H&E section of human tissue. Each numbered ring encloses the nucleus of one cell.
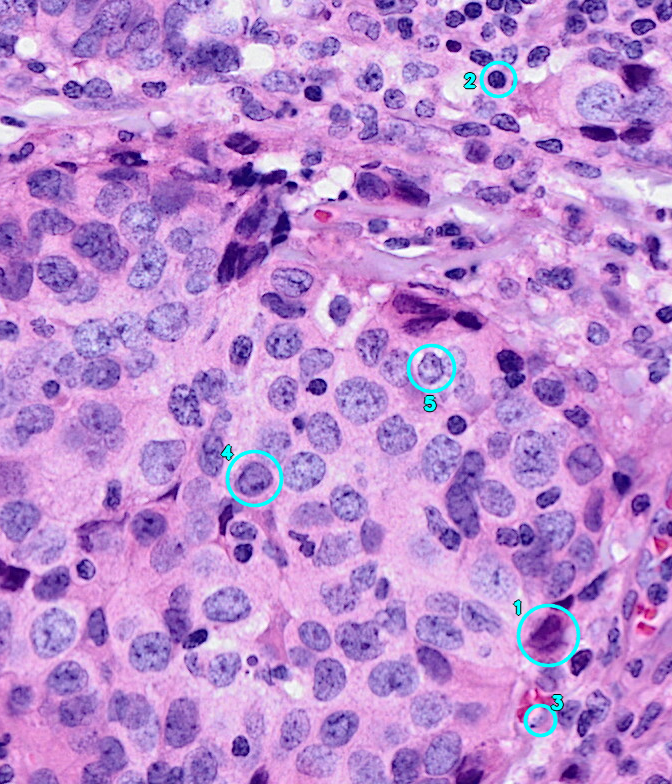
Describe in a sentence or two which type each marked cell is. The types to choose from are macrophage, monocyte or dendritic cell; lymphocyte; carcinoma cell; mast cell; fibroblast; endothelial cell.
Cell 1 is a carcinoma cell, cell 2 is a lymphocyte, cell 3 is an endothelial cell, cell 4 is a carcinoma cell and cell 5 is a carcinoma cell.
